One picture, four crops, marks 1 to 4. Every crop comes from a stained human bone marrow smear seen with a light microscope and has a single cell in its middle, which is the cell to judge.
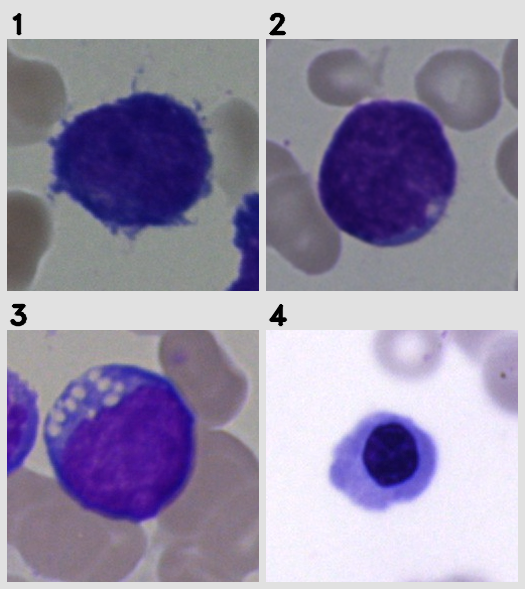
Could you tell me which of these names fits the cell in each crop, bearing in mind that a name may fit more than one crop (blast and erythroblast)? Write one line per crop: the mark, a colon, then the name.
1: blast
2: blast
3: blast
4: erythroblast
